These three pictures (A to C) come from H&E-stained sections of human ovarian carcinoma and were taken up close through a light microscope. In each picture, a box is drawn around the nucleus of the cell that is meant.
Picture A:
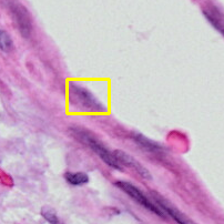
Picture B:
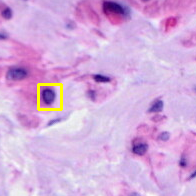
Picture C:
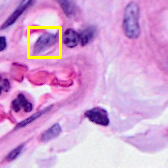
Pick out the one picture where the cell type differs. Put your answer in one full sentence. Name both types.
Unlike the rest, which show endothelial cells, picture B shows a smooth muscle cell.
